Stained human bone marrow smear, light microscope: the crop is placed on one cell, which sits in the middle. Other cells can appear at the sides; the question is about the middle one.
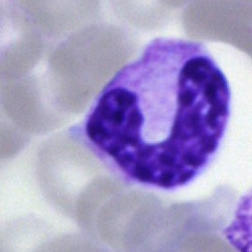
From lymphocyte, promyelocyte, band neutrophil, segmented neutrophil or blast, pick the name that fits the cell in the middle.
band neutrophil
